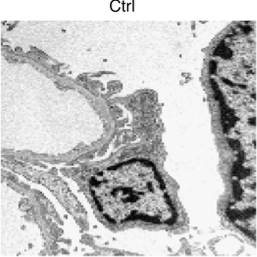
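This transmission electron micrograph shows part of a glomerulus, with a large pale capillary lumen occupying the upper left. The lumen is bounded by a thin wall. A cell lies against the outer side of this wall and holds a single nucleus with dark chromatin clumped along its envelope. Part of another elongated nucleus with dense peripheral chromatin appears at the right edge.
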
